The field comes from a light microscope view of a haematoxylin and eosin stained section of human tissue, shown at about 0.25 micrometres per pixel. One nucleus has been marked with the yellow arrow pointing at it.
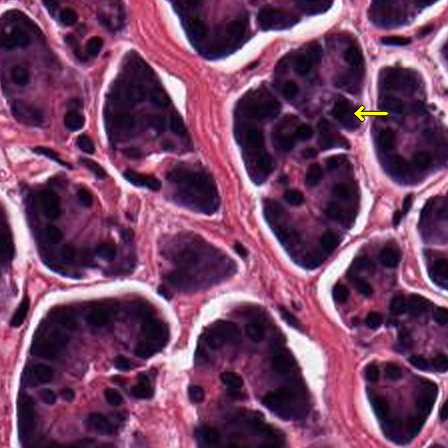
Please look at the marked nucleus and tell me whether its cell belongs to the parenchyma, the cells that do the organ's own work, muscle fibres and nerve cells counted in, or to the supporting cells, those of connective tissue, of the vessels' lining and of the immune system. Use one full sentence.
The marked nucleus belongs to a pancreatic acinar cell, a parenchymal cell.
